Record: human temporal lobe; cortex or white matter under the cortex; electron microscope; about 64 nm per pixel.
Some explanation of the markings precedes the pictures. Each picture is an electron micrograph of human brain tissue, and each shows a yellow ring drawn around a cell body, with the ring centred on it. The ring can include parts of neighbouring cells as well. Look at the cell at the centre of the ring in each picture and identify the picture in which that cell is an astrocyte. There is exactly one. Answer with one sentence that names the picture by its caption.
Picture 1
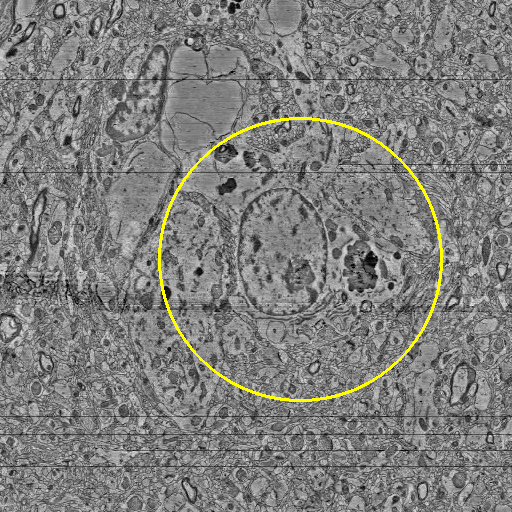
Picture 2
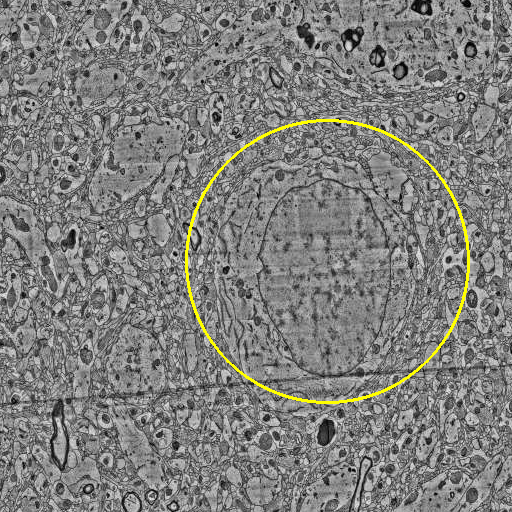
In Picture 1, the cell at the centre of the ring is of that kind.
